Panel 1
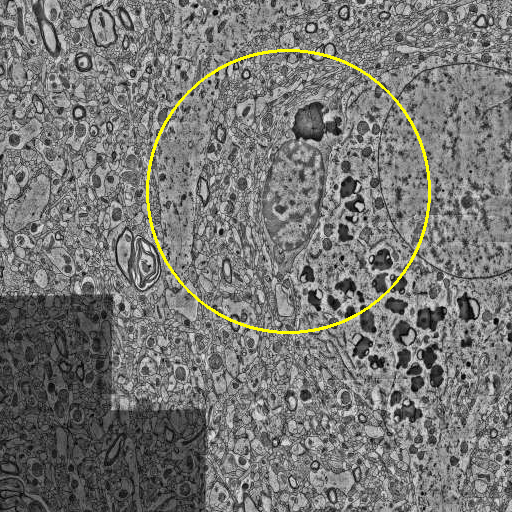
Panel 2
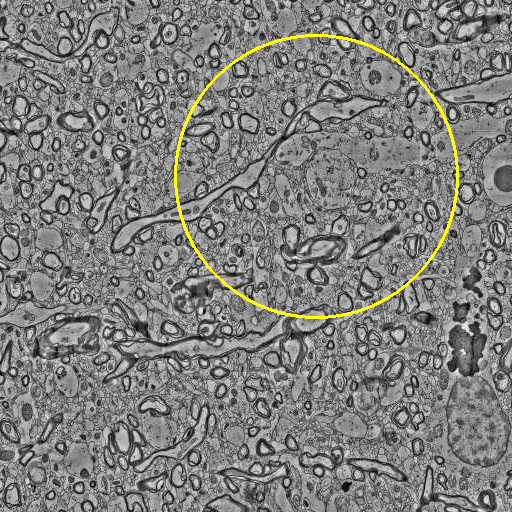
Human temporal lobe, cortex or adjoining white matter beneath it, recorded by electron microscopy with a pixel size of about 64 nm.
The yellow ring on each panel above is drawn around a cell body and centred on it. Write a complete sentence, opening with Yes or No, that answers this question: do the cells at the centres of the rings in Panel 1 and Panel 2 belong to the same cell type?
No, the two cells belong to two cell types.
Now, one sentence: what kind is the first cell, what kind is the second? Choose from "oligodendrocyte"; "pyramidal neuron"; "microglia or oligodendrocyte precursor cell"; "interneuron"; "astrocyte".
The first picture has an oligodendrocyte at its ring centre, and the second has a microglial cell or oligodendrocyte precursor cell.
